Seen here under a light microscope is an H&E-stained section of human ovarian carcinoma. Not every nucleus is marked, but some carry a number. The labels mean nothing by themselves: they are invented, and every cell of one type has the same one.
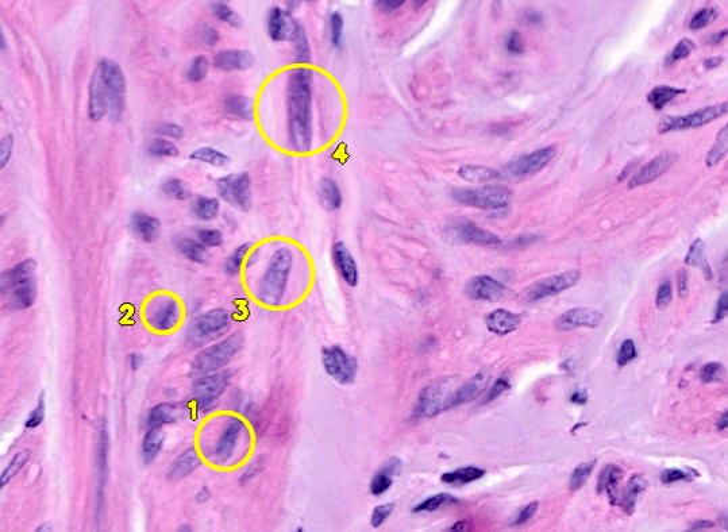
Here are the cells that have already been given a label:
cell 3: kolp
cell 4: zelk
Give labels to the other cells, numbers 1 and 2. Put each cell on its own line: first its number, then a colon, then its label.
1: kolp
2: kolp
